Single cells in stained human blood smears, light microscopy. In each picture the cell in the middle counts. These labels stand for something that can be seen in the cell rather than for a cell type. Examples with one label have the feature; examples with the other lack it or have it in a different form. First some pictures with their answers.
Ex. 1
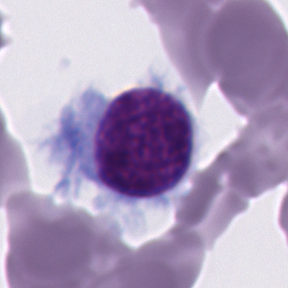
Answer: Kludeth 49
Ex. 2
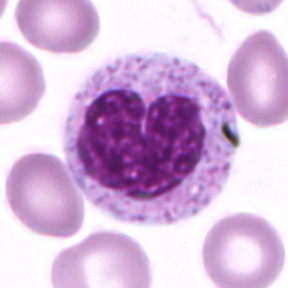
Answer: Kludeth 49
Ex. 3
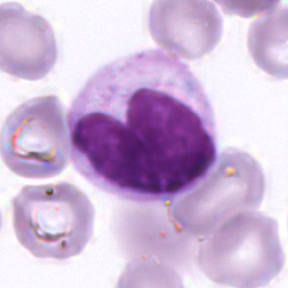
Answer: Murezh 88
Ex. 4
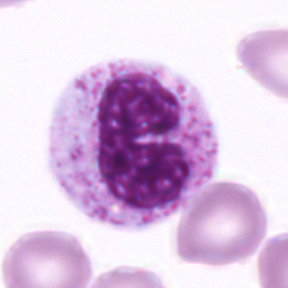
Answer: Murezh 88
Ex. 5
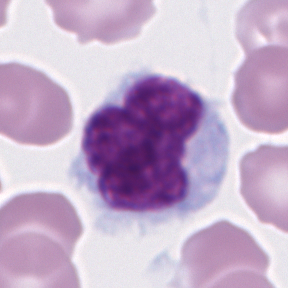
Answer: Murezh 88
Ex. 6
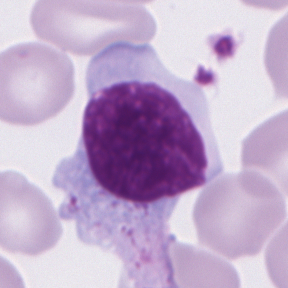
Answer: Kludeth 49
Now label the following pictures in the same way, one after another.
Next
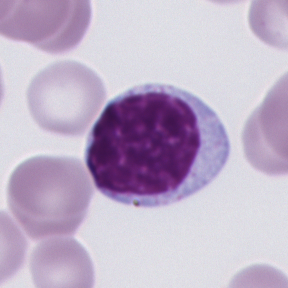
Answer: Kludeth 49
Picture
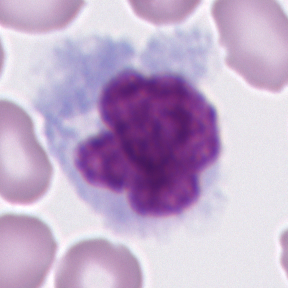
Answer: Murezh 88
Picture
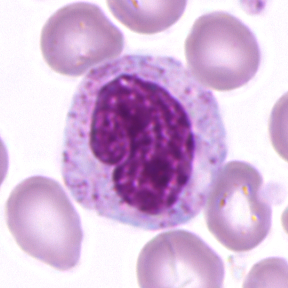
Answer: Kludeth 49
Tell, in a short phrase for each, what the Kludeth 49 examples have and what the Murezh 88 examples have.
In Kludeth 49: single compact nucleus. In Murezh 88: lobed nucleus.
